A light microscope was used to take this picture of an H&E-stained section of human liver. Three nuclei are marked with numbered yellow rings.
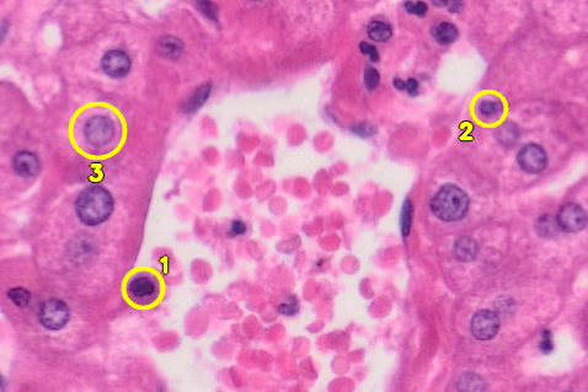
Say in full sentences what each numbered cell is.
Cell 1 is a Kupffer cell. Cell 2 is a fibroblast or stellate cell. Cell 3 is a hepatocyte.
